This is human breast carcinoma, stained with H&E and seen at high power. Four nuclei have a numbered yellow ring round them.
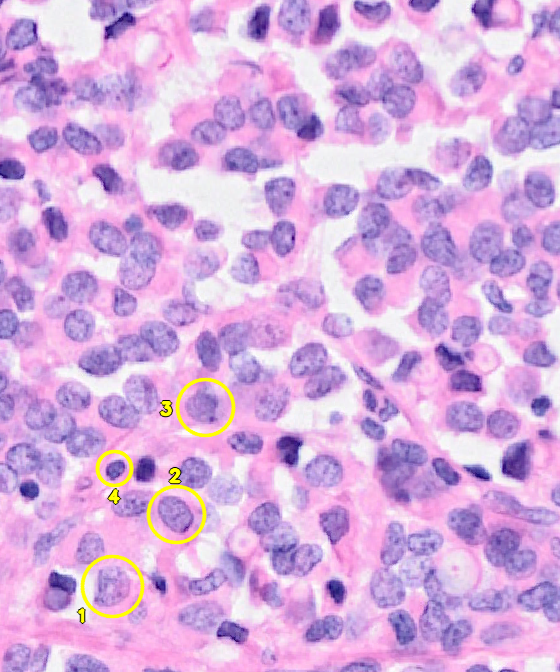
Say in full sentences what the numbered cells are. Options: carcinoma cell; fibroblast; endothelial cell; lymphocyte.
Cell 1 is a carcinoma cell, cell 2 is a carcinoma cell, cell 3 is a carcinoma cell and cell 4 is a lymphocyte.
